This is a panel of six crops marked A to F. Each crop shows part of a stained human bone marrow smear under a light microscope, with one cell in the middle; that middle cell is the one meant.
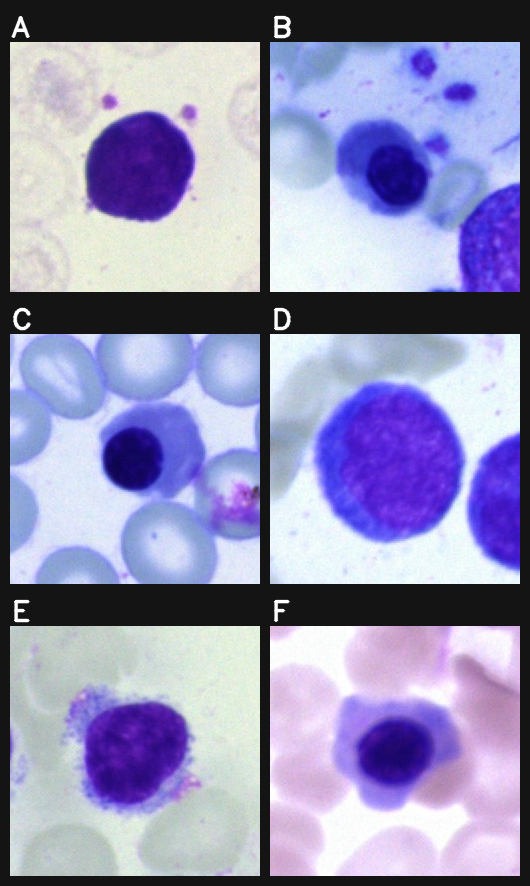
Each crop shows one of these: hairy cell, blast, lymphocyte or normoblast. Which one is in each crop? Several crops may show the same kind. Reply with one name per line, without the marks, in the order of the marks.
lymphocyte
normoblast
normoblast
blast
hairy cell
normoblast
